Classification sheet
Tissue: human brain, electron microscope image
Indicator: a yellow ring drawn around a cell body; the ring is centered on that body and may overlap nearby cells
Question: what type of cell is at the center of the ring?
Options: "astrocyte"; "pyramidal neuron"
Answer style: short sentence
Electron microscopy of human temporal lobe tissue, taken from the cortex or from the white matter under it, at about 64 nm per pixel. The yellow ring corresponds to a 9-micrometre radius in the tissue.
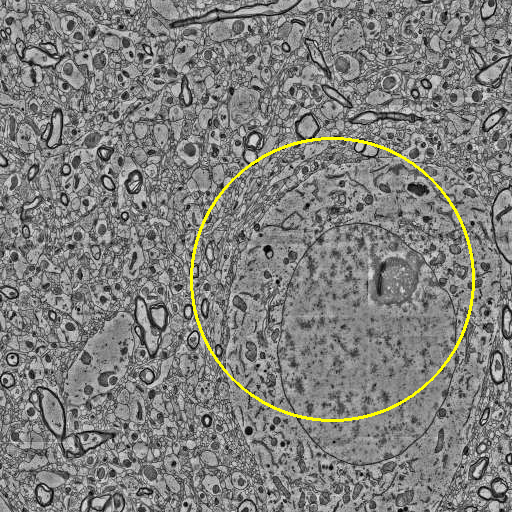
At the ring's center is a pyramidal neuron.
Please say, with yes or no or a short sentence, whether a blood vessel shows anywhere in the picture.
No, the picture includes no blood vessel.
